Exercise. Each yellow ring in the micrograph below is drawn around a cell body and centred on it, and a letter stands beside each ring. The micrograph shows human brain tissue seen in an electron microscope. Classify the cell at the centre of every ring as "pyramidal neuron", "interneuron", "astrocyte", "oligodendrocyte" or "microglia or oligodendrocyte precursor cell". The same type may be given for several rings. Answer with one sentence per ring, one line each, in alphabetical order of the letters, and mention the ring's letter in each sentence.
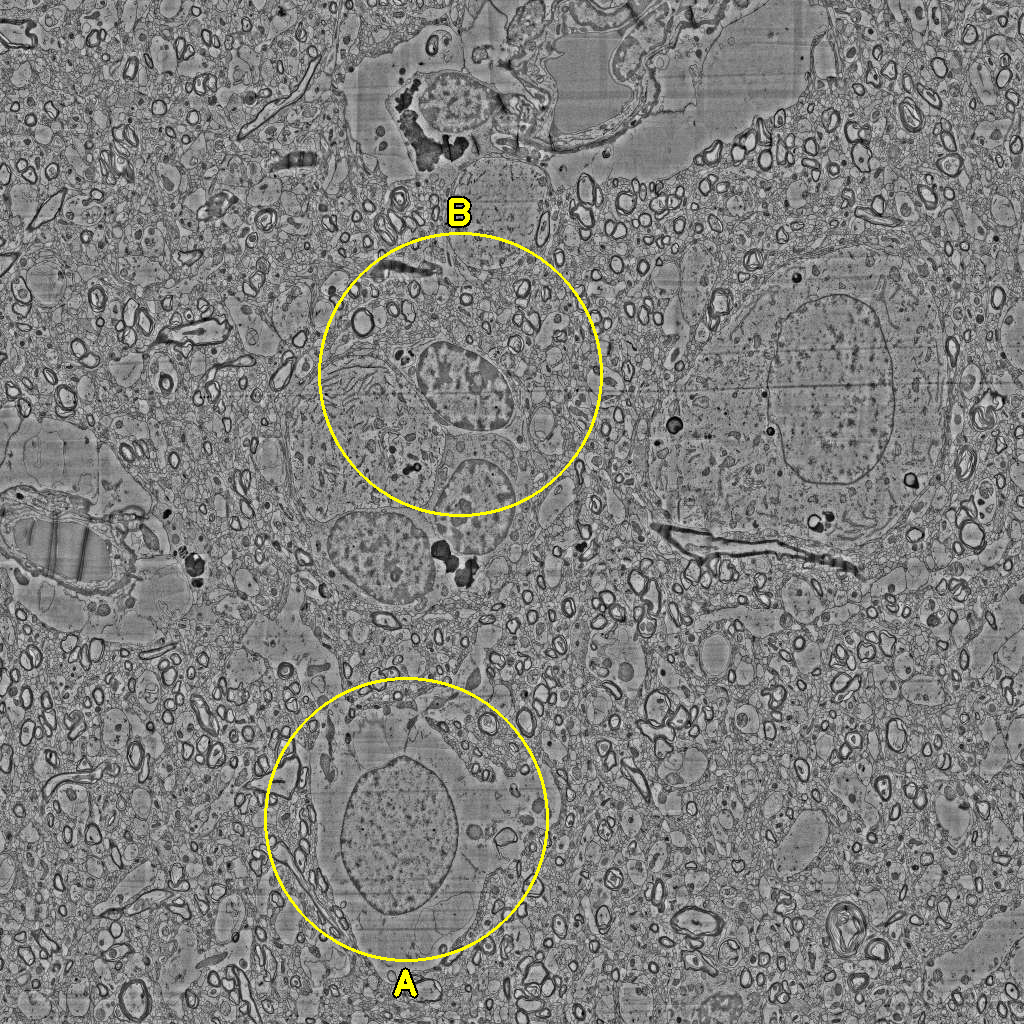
In ring A, the central cell is an astrocyte.
In ring B, the central cell is a microglial cell or oligodendrocyte precursor cell.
